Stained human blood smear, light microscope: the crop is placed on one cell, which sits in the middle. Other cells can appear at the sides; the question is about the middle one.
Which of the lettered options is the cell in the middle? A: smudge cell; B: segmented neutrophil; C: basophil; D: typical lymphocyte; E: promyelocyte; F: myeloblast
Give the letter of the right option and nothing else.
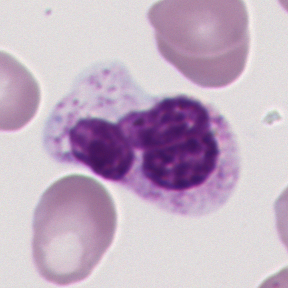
B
